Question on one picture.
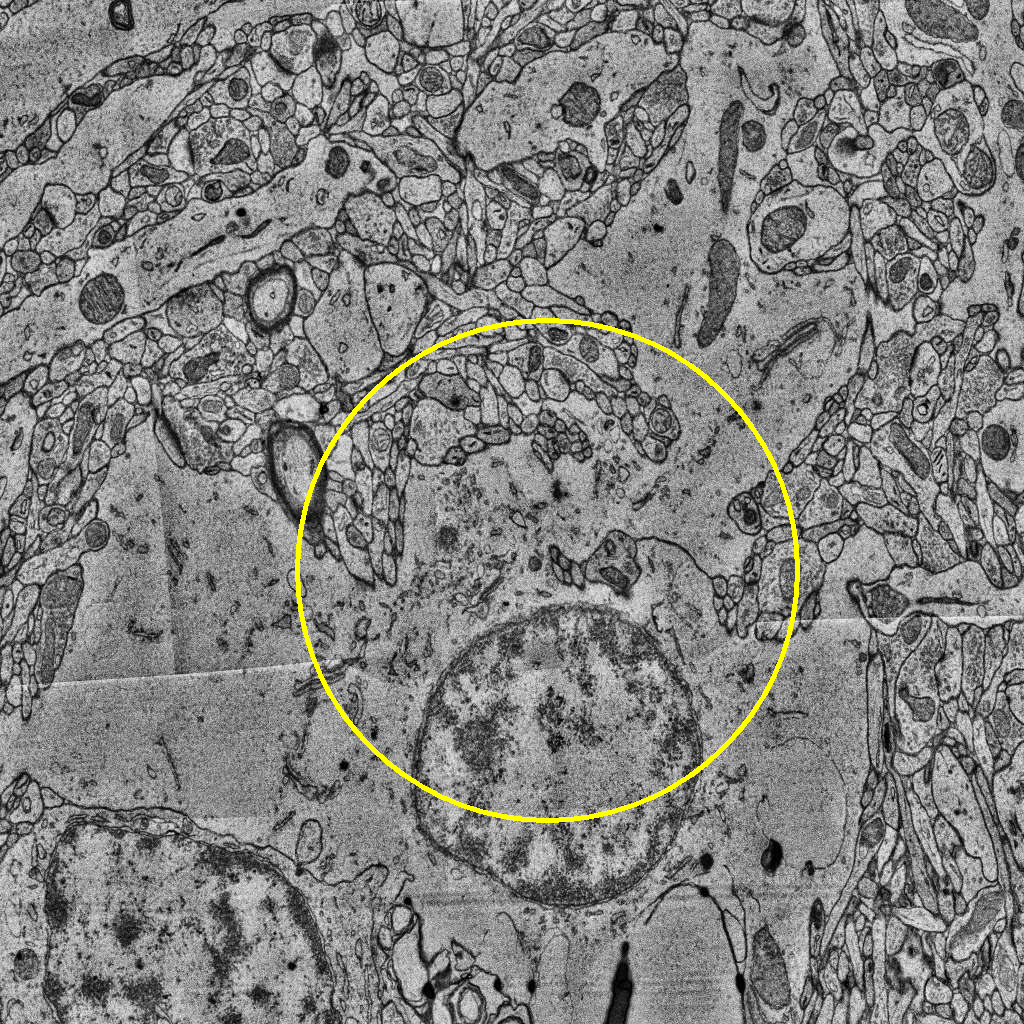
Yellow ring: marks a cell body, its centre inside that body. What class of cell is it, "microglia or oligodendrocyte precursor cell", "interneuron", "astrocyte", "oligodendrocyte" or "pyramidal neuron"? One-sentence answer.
This is an astrocyte, the cell at the ring's centre.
